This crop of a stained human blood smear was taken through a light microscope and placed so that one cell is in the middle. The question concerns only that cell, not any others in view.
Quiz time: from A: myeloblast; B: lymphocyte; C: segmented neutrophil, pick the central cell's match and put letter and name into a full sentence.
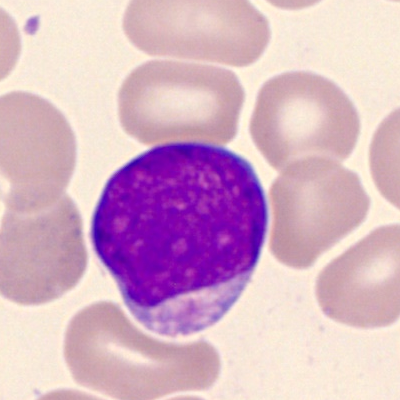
The correct choice is option A, which identifies the middle cell as a myeloblast.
